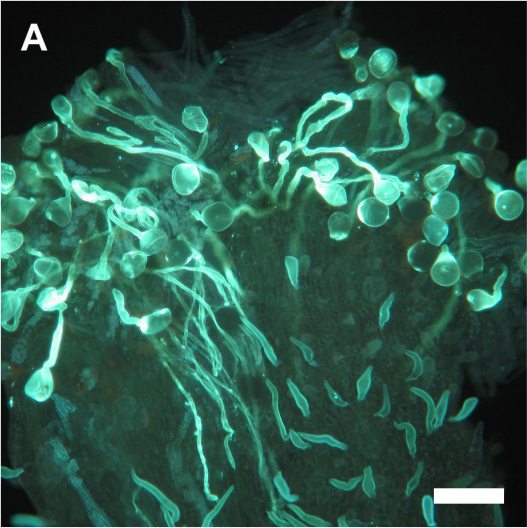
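The pollen grains appear as many round, bright blue-green bodies clustered over the upper surface. From many of them a long, thin, bright pollen tube emerges and runs downward through the tissue, often several tubes converging into bundles. In the lower part of the field there are shorter, blunt, curved bright hairs standing on the surface, distinct from the long tubes. The underlying tissue is dark with faint texture.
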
